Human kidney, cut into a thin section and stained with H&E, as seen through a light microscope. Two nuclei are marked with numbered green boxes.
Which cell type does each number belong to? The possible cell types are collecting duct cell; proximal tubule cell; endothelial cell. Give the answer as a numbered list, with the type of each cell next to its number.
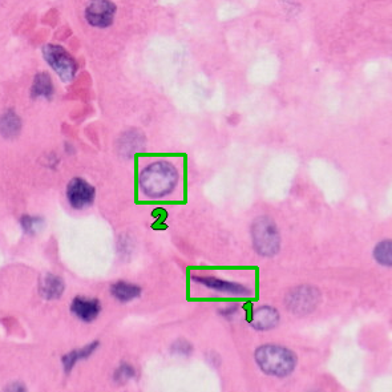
1. endothelial cell
2. proximal tubule cell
